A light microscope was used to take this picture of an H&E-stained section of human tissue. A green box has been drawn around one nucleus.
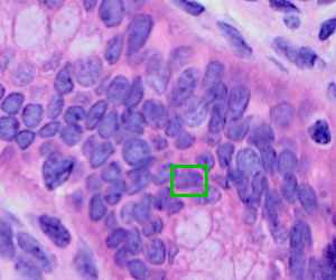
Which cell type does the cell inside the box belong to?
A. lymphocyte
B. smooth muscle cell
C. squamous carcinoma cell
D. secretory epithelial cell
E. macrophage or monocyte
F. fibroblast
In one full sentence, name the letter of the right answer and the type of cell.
Option D correctly identifies the cell inside the box as a secretory epithelial cell.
